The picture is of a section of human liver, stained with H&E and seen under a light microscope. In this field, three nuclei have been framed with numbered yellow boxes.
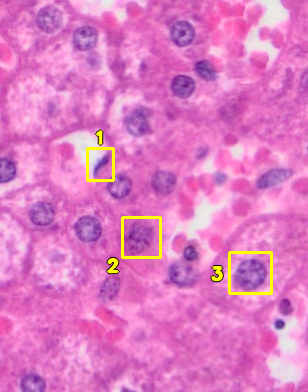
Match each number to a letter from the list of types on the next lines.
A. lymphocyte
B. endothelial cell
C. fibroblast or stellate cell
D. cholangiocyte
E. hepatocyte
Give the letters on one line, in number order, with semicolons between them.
B; E; E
